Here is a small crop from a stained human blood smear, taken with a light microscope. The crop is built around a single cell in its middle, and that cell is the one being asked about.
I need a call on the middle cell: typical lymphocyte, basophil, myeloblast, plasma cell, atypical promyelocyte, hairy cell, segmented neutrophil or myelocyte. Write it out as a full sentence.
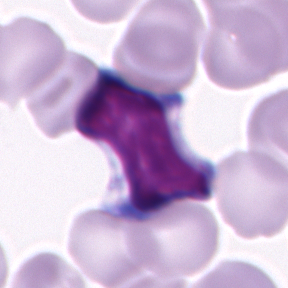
By type, the central cell of the crop is a typical lymphocyte.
